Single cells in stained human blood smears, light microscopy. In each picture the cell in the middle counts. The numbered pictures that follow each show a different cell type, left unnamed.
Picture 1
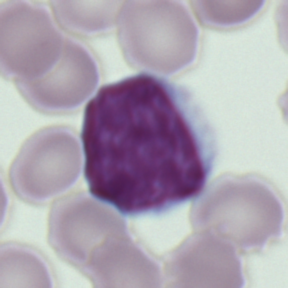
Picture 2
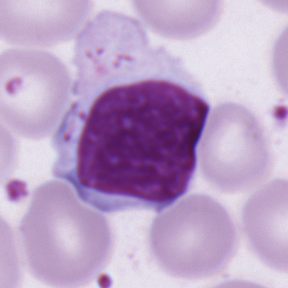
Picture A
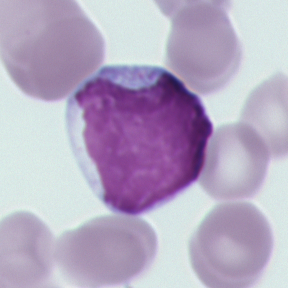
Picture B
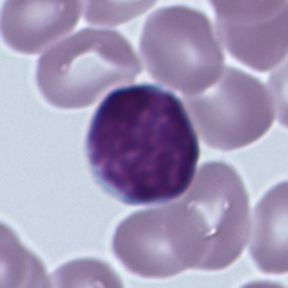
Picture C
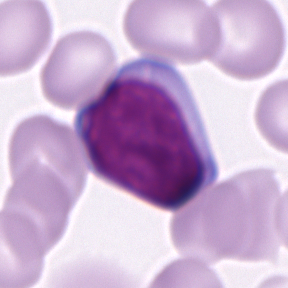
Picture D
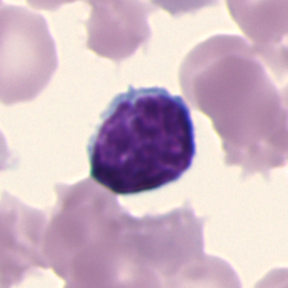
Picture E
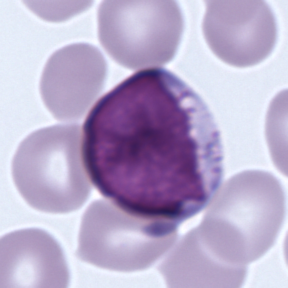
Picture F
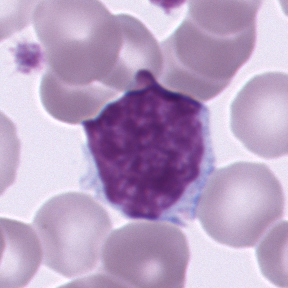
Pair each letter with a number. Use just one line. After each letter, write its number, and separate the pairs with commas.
A 2, B 1, C 1, D 1, E 2, F 1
